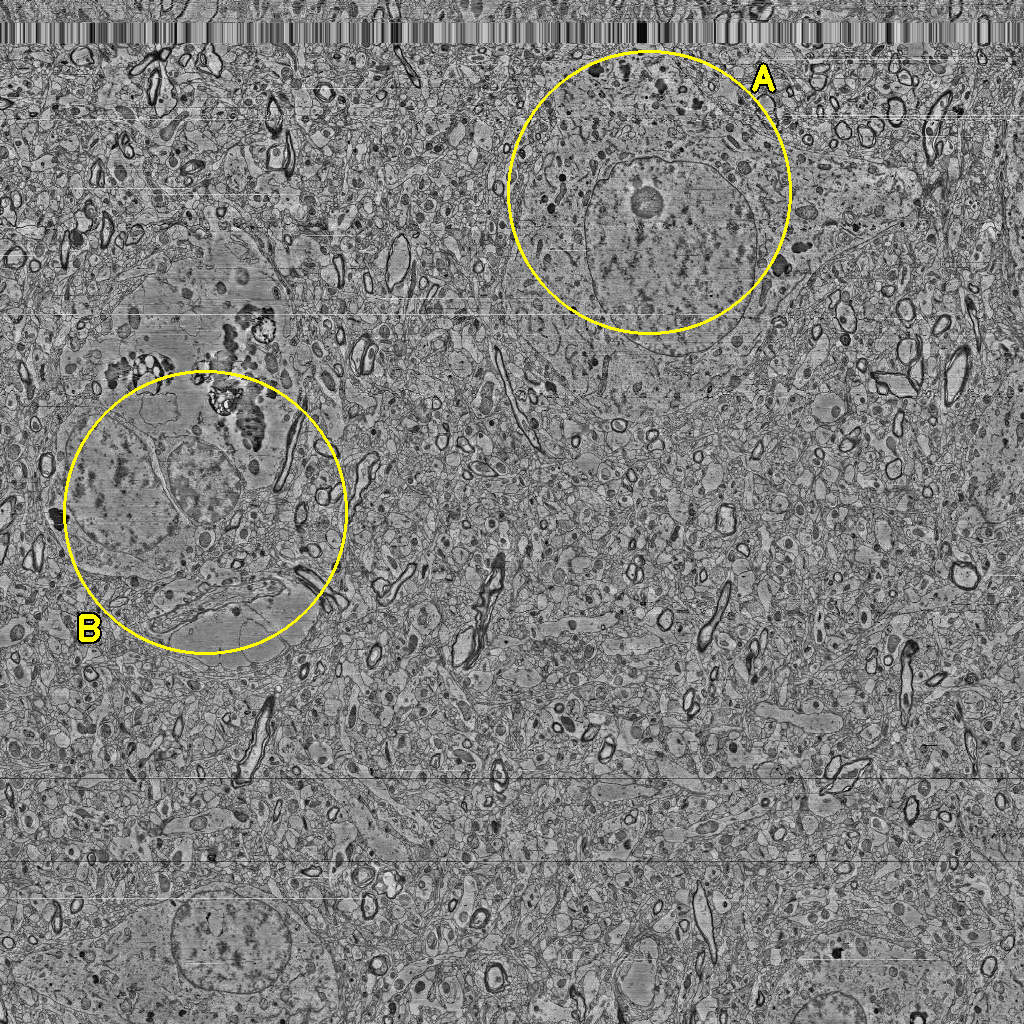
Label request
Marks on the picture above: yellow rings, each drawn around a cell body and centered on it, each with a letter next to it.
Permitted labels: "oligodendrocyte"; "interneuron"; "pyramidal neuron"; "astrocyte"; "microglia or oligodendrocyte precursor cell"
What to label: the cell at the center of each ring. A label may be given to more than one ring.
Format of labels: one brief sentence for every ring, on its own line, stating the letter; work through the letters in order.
The cell at the center of ring A is a pyramidal neuron.
The cell at the center of ring B is an oligodendrocyte.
